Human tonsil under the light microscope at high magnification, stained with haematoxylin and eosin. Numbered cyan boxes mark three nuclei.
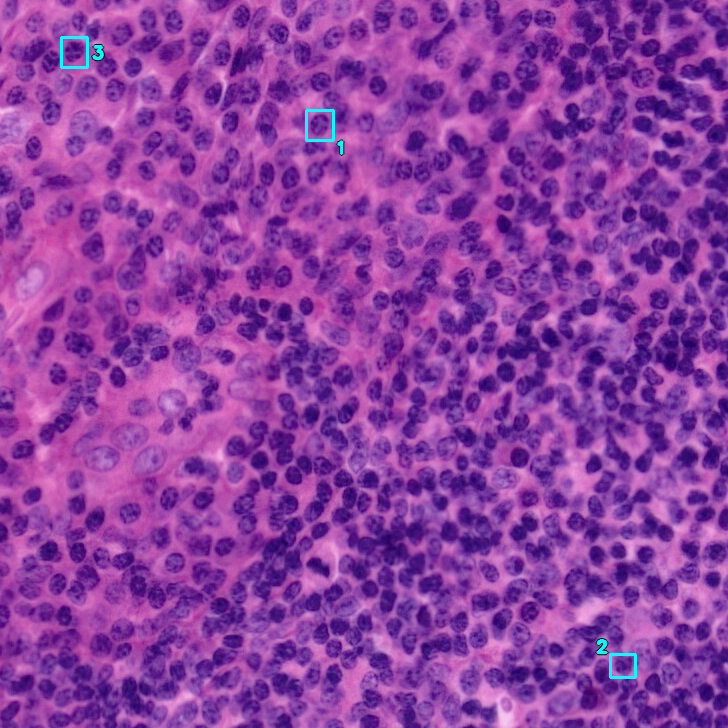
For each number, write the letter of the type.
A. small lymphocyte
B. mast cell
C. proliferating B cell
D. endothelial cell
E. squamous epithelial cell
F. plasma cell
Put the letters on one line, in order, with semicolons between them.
F; A; F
